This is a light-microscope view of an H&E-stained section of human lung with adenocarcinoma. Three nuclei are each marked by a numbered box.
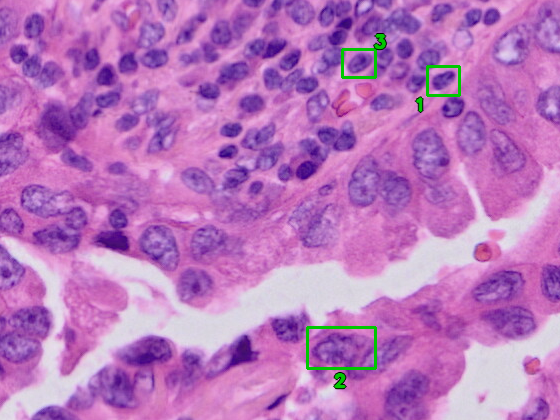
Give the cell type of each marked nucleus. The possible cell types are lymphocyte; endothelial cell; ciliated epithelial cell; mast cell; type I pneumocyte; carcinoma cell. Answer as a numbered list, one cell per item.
1. lymphocyte
2. carcinoma cell
3. lymphocyte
